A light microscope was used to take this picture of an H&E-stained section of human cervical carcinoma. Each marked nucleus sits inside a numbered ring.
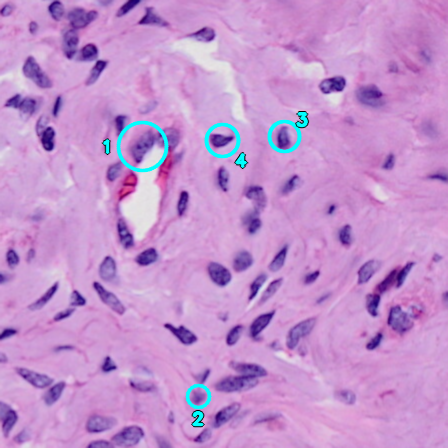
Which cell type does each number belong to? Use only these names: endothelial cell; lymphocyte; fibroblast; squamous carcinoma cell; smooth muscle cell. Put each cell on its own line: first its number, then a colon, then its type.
1: endothelial cell
2: fibroblast
3: fibroblast
4: fibroblast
